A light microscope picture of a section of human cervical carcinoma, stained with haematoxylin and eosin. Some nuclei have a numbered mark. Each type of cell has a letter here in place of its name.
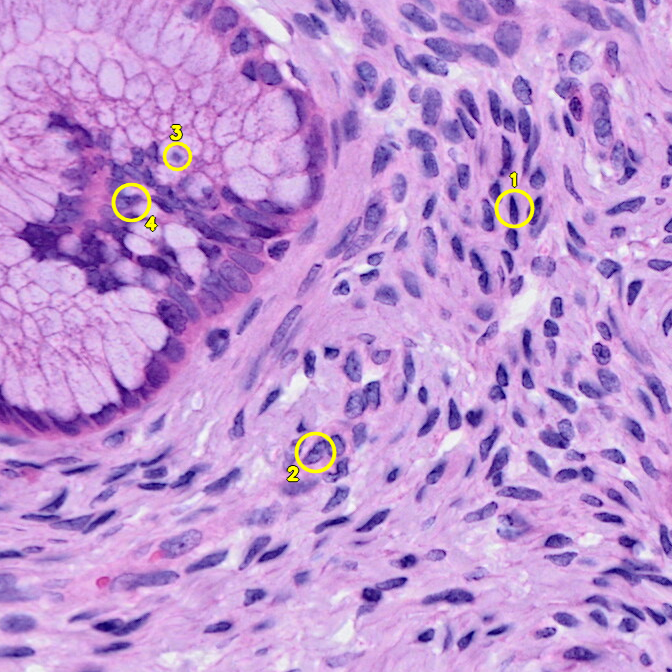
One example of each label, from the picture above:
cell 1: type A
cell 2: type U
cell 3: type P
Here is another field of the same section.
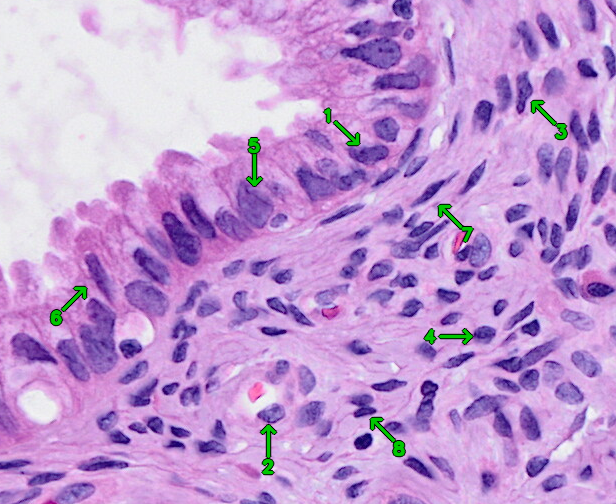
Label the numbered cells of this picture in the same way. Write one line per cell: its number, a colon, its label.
1: type P
2: type U
3: type A
4: type A
5: type P
6: type P
7: type A
8: type A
